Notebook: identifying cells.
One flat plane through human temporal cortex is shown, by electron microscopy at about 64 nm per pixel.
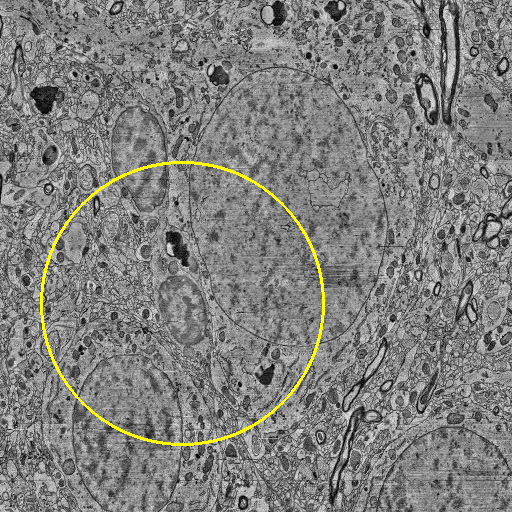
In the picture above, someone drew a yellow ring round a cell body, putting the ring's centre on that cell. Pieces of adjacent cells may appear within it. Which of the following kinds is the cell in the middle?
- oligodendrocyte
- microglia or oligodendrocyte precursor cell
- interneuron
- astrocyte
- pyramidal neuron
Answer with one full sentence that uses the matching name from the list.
In this picture, the yellow ring is centred on the body of an oligodendrocyte.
